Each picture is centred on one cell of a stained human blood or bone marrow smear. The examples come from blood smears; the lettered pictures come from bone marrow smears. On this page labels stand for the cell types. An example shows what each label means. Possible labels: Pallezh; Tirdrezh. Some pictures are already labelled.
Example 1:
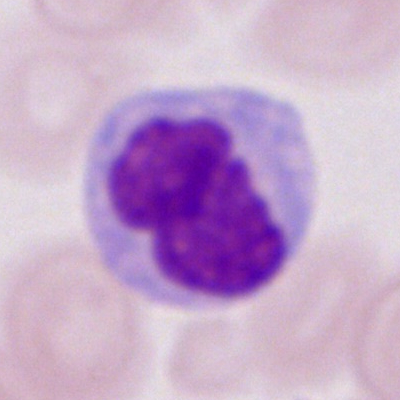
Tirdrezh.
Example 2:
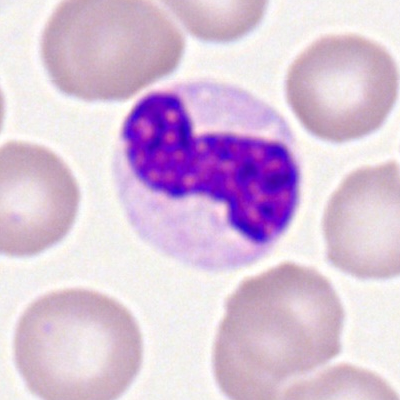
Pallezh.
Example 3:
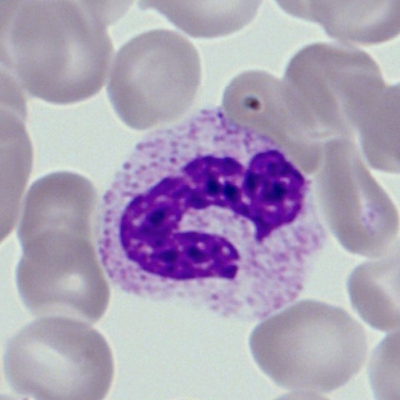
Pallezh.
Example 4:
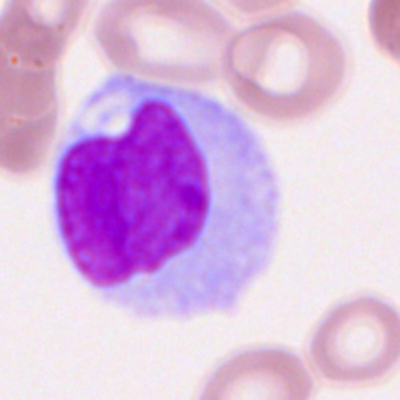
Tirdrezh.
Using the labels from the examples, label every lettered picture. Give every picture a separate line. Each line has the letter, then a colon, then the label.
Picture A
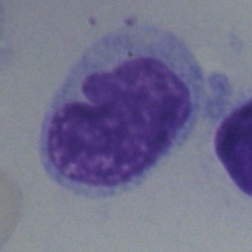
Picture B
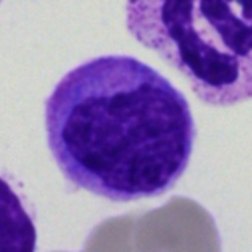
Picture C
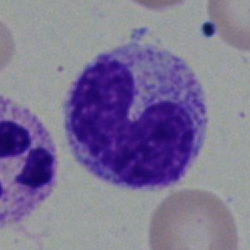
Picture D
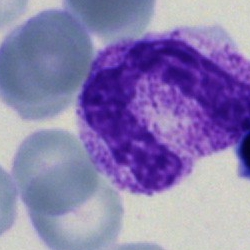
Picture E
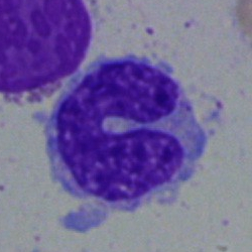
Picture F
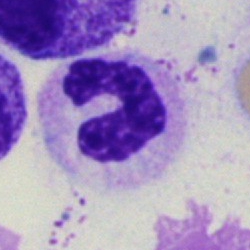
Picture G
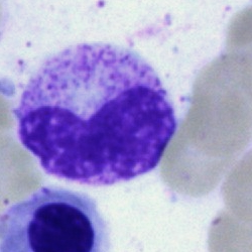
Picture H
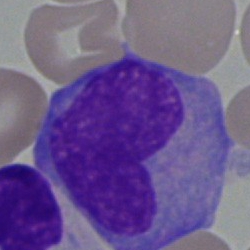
A: Tirdrezh.
B: Tirdrezh.
C: Pallezh.
D: Pallezh.
E: Tirdrezh.
F: Pallezh.
G: Pallezh.
H: Tirdrezh.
